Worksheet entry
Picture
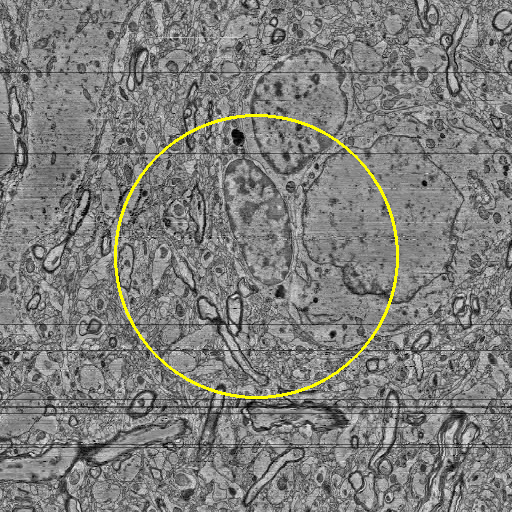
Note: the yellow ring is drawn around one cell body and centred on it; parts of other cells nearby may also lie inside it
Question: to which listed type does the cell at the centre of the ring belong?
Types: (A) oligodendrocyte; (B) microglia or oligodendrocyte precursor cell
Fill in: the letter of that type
B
